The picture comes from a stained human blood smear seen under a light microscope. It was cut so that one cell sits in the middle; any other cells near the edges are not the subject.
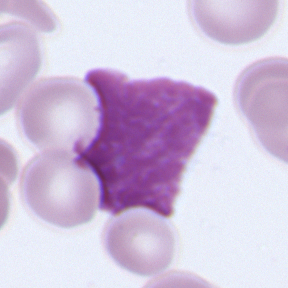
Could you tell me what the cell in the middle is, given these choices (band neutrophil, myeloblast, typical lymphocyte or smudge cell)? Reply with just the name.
smudge cell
